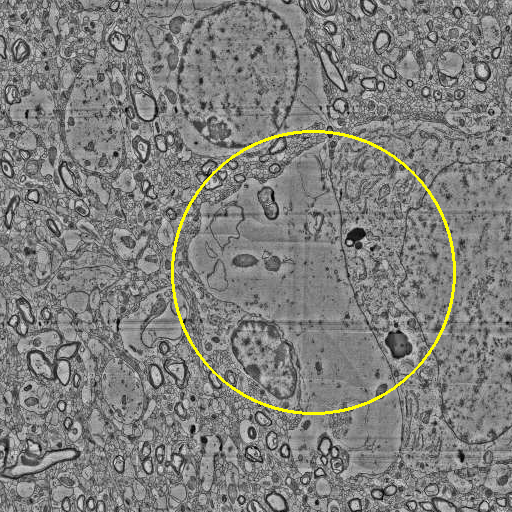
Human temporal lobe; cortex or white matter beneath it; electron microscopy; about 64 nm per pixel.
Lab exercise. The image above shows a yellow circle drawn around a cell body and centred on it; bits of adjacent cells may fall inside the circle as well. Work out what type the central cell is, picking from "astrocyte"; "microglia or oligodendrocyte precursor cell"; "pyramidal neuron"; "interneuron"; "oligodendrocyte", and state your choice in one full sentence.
In the image above, the cell at the centre of the yellow circle is an astrocyte.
